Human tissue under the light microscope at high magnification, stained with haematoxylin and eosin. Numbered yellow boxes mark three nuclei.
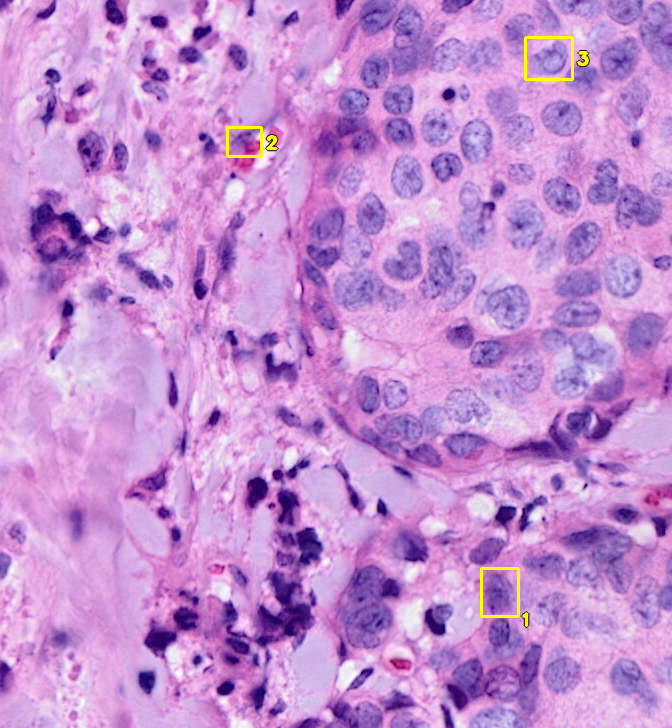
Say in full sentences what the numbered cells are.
Cells 1 and 3 are carcinoma cells. Cell 2 is an endothelial cell.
